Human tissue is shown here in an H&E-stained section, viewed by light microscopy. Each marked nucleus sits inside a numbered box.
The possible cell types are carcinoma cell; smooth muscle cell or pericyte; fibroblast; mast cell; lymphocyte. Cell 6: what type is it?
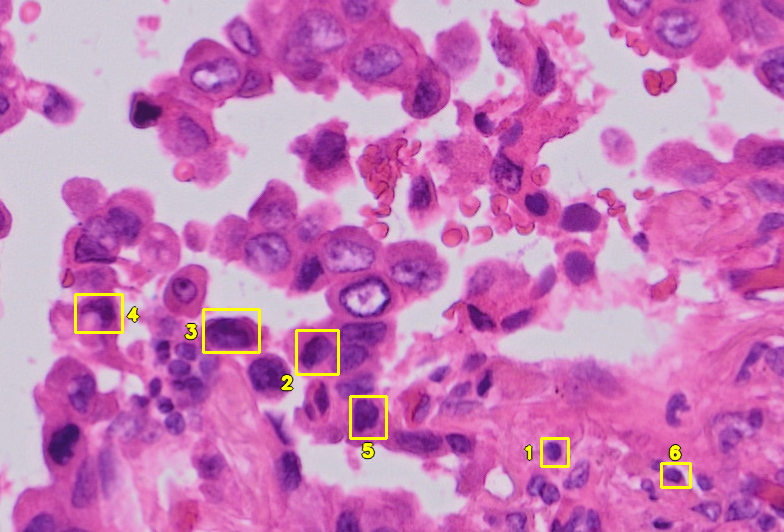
lymphocyte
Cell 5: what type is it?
carcinoma cell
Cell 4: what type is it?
carcinoma cell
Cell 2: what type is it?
carcinoma cell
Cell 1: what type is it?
lymphocyte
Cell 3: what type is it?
carcinoma cell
